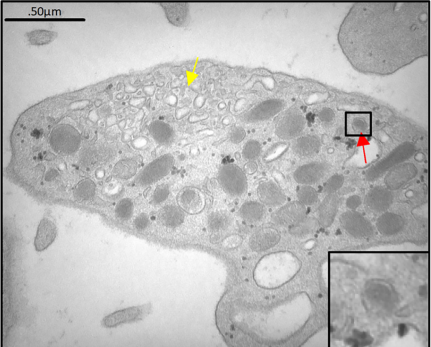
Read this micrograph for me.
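This is a thin section of a platelet, an anucleate, elongated cell fragment with a smooth outline. Its cytoplasm holds many round to oval grey granules of moderate density, several with paler halos, and scattered small clusters of very dark particles. Close to one edge lies a crowd of small pale tubular and vesicular membrane profiles, a tangle of membranes. A boxed granule, shown enlarged, has a pale, diffuse content instead of a compact black core. Neighbouring platelet fragments are cut at the margins of the field.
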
